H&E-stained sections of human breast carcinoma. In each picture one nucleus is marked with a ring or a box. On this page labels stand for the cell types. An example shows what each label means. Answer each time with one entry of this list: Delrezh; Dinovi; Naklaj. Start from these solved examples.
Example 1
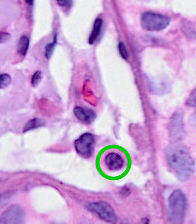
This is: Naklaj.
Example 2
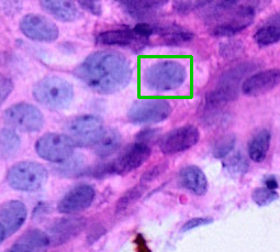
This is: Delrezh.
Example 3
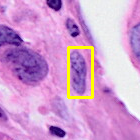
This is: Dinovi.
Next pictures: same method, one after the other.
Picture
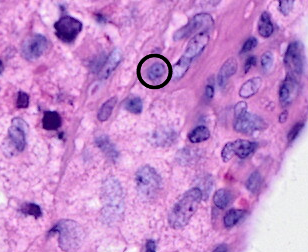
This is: Dinovi.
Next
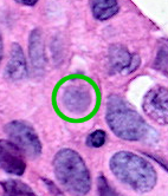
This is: Delrezh.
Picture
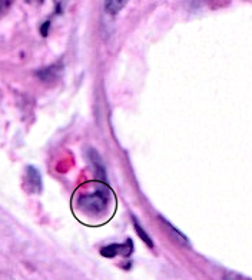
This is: Dinovi.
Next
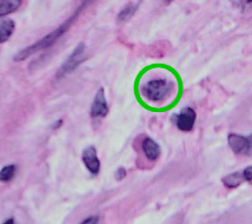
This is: Naklaj.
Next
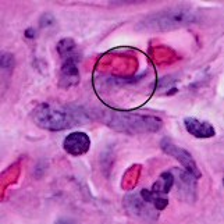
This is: Dinovi.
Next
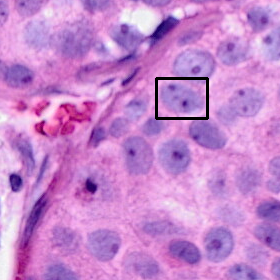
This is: Delrezh.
